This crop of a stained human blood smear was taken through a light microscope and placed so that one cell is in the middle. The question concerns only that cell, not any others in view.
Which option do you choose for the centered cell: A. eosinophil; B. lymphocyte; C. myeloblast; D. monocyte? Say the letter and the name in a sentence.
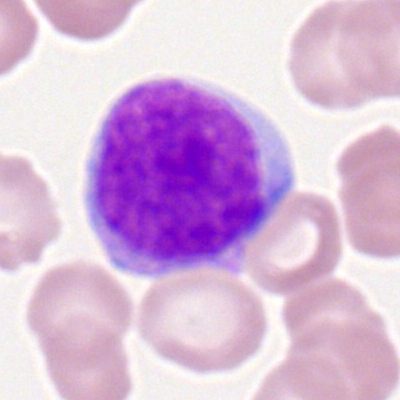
The centered cell is a myeloblast, which is why option C is right.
